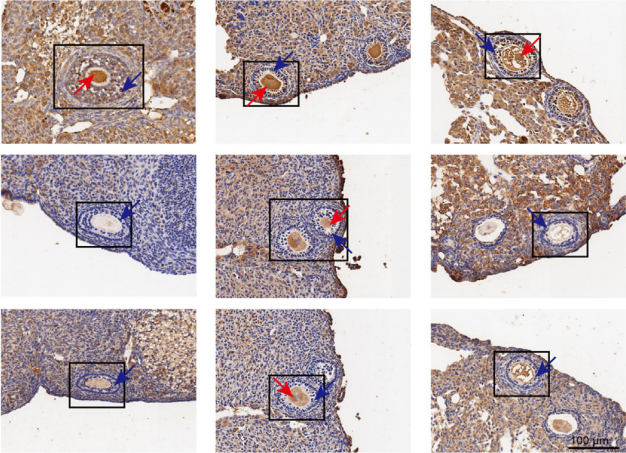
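These are small primary follicles in ovarian tissue, each framed by a black rectangle. At the centre of each lies a round oocyte, often stained brown, much larger than any cell around it. The follicles sit within a dense stroma of closely packed cells whose cytoplasm varies from pale to brown among the images.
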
